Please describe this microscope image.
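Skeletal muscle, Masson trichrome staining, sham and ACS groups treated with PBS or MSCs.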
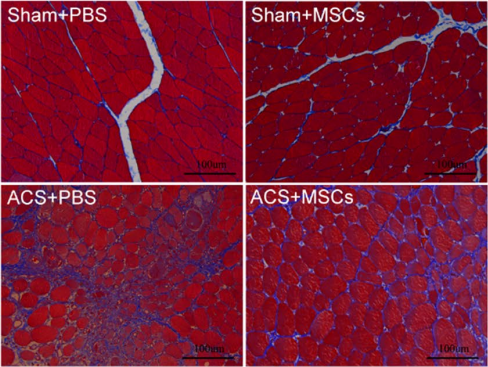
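In the two upper fields the polygonal red fibers lie closely packed with only thin blue lines between them. In the lower left field the fibers are pushed apart by broad bands of blue collagen, and many fibers are small, rounded and paler, a picture of fibrosis. In the lower right field there is more blue between the fibers than in the upper fields, but far less than in the lower left.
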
